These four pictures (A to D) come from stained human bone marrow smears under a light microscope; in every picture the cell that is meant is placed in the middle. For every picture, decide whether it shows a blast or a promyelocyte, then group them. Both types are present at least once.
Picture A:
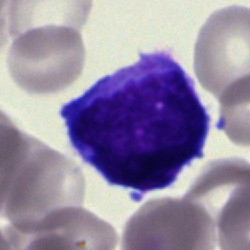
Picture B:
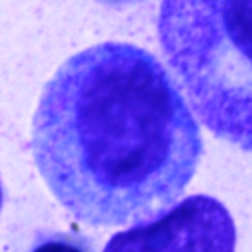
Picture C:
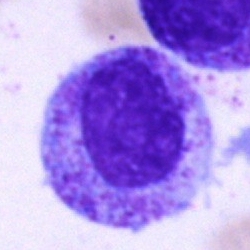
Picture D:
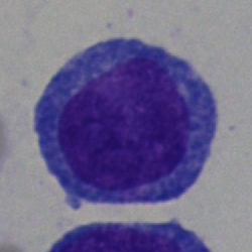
A: blast
B: promyelocyte
C: promyelocyte
D: blast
